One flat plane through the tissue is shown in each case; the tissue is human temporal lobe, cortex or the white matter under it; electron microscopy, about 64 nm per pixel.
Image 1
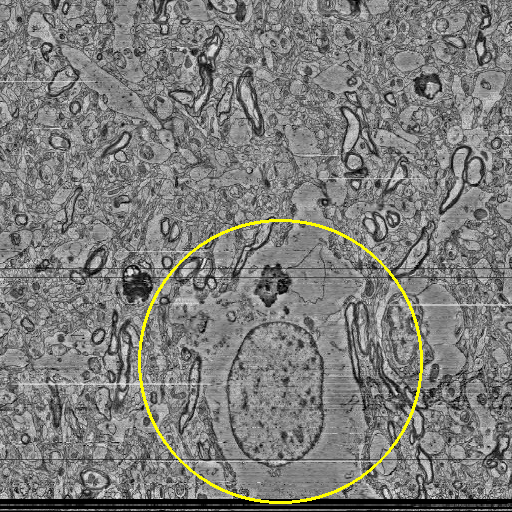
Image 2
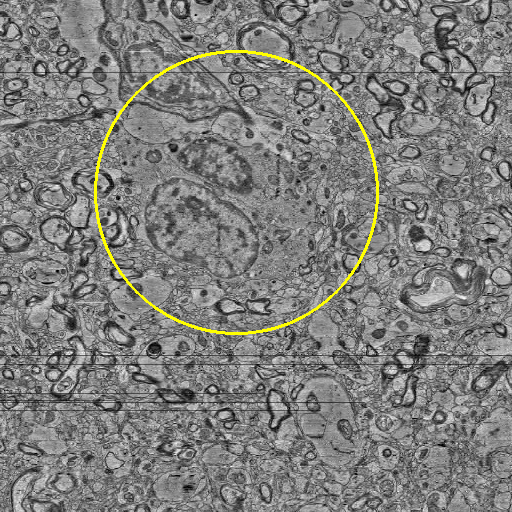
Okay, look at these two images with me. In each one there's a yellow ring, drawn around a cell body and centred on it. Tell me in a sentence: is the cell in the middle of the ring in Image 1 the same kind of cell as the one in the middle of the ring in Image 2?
No, they're two kinds of cell.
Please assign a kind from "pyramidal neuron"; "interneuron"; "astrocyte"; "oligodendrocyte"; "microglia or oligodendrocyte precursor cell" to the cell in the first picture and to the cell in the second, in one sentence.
In the first picture we have an astrocyte, and in the second, an oligodendrocyte.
